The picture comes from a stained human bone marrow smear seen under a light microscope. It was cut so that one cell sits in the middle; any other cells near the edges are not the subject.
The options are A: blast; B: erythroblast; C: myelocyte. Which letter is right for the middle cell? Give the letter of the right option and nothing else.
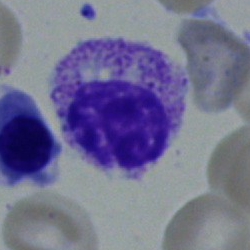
C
